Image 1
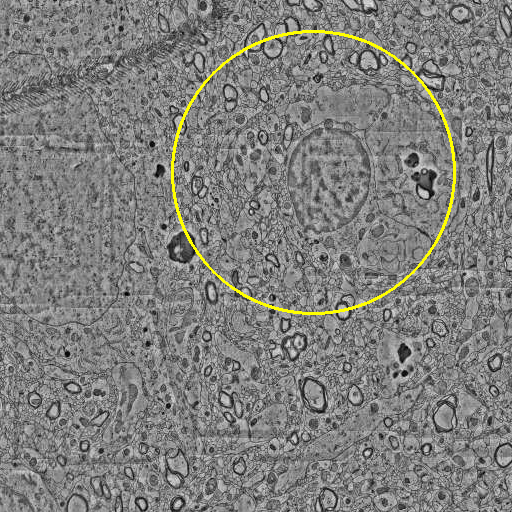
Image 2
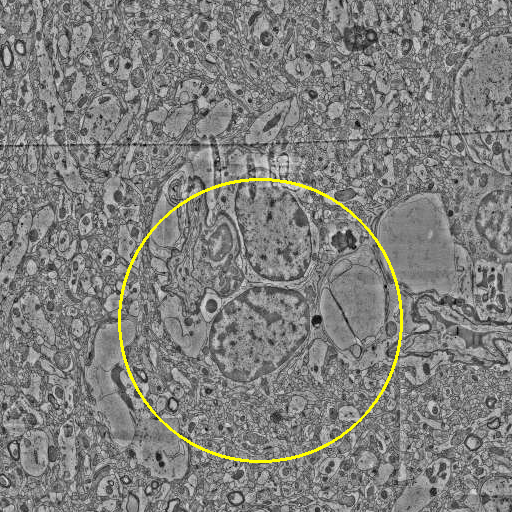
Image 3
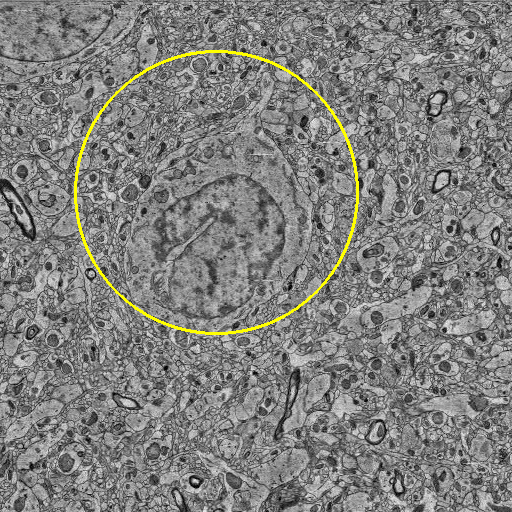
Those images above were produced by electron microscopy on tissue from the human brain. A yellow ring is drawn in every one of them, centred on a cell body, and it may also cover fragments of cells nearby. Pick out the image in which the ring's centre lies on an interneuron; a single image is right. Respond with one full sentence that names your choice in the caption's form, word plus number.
Image 3 is my choice: its ring is centred on the requested cell.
